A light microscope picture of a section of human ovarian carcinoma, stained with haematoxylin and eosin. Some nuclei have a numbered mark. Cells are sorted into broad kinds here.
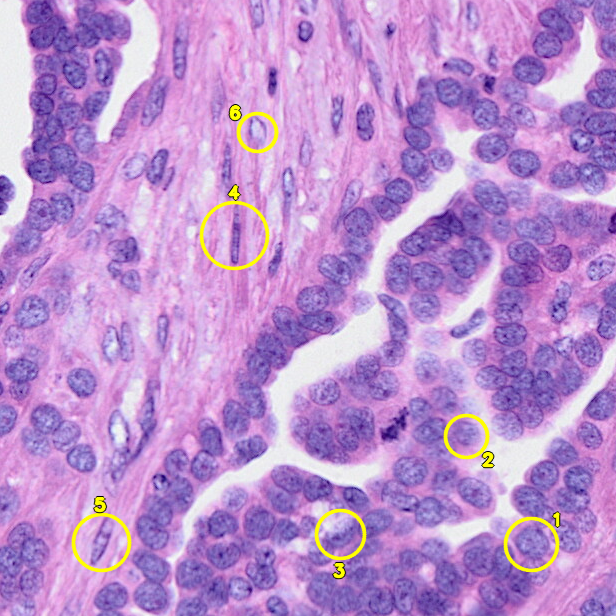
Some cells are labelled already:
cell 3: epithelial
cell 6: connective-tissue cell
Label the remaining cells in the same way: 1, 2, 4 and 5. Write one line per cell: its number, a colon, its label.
1: epithelial
2: epithelial
4: connective-tissue cell
5: connective-tissue cell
